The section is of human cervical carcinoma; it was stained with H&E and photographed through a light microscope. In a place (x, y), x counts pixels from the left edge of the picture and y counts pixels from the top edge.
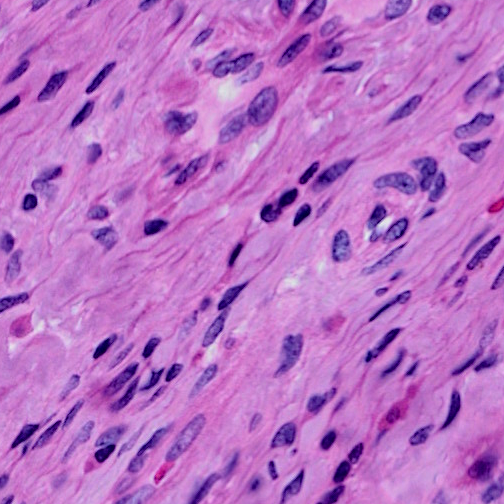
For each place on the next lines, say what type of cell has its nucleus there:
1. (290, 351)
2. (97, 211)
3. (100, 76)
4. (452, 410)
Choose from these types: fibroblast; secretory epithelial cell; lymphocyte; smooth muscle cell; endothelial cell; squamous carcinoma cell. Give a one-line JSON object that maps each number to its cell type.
{"1": "fibroblast", "2": "smooth muscle cell", "3": "fibroblast", "4": "fibroblast"}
